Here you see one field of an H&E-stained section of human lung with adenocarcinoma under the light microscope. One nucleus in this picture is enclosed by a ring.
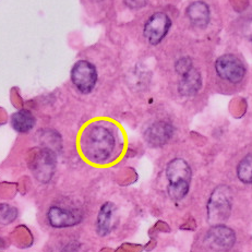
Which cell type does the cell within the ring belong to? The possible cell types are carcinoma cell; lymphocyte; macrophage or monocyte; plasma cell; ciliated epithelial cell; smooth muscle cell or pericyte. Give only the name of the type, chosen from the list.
macrophage or monocyte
